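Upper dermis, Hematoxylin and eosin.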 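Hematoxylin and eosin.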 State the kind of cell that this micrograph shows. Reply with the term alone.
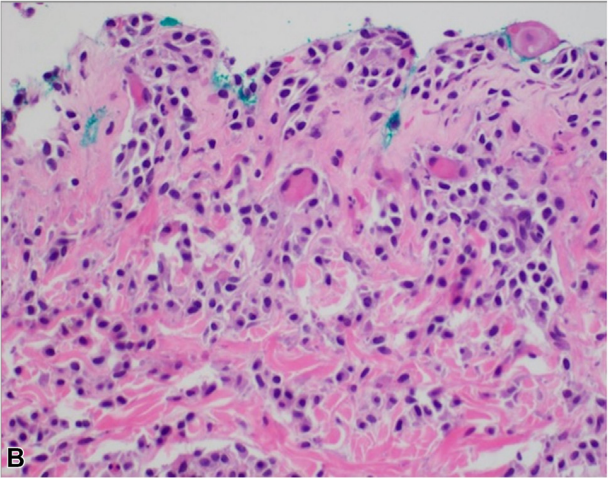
Mast cells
